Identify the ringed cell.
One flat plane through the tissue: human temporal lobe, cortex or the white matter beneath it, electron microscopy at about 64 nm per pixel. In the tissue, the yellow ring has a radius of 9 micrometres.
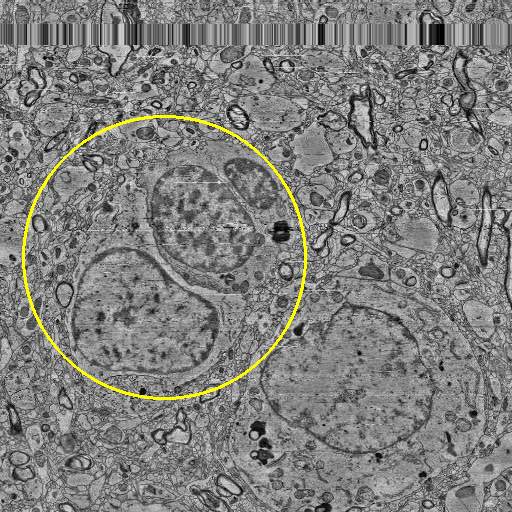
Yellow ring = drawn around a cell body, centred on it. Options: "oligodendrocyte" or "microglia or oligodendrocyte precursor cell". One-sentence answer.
What the ring is centred on is an oligodendrocyte.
